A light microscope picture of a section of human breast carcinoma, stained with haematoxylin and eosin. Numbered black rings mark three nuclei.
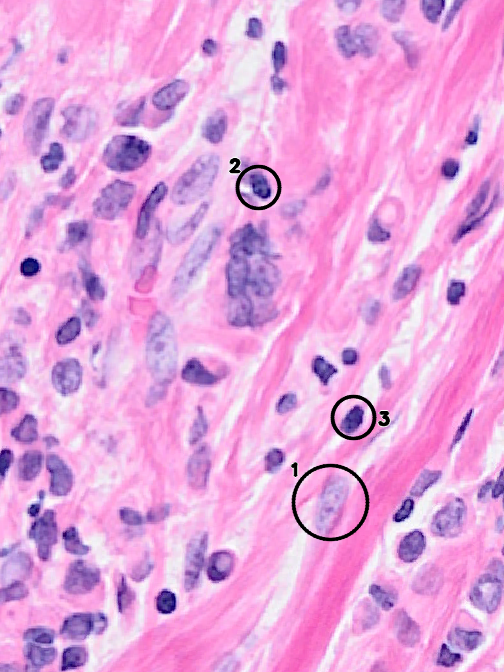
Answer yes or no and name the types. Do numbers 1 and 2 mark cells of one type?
No, cell 1 is a fibroblast and cell 2 is a lymphocyte.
